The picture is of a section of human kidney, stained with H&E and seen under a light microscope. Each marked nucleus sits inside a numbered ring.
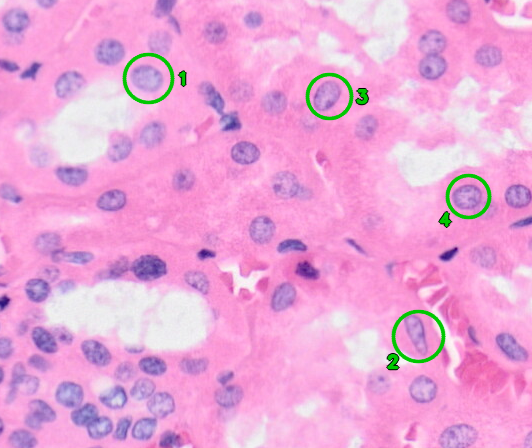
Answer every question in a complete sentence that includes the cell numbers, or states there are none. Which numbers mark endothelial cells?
Nowhere among the numbered cells do endothelial cells occur.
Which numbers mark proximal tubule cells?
Cells that were given the numbers 2, 3 and 4 are proximal tubule cells.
